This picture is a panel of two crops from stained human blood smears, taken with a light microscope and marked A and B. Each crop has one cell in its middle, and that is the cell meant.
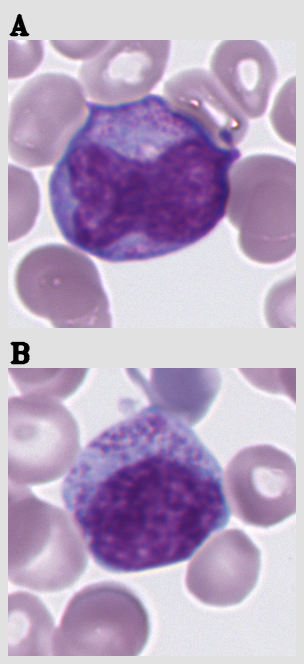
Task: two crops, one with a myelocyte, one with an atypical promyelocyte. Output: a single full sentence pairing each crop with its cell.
The cell that crop A centres on is an atypical promyelocyte, and the cell that crop B centres on is a myelocyte.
